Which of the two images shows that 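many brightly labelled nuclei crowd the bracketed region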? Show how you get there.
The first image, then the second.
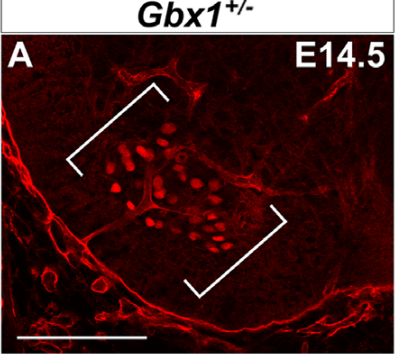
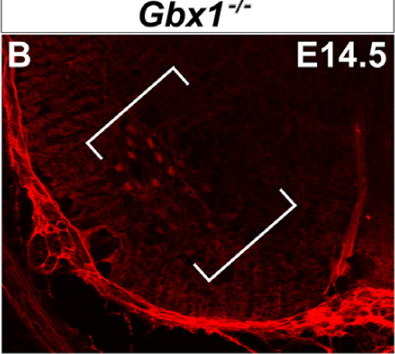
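The first image. Second image: only a few faint red nuclei lie between the brackets. First image: dozens of bright red nuclei fill the bracketed region.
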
